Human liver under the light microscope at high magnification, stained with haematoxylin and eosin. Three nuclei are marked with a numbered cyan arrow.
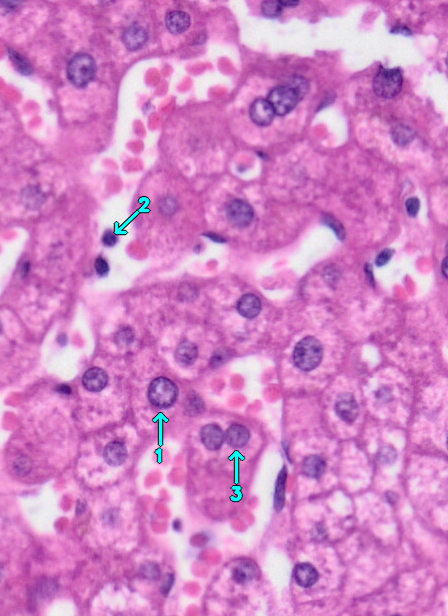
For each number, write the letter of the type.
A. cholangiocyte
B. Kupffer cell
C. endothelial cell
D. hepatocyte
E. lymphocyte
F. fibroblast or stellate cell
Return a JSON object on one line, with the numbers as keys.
{"1": "D", "2": "E", "3": "D"}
